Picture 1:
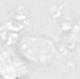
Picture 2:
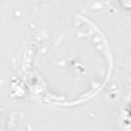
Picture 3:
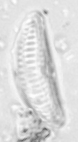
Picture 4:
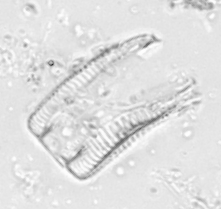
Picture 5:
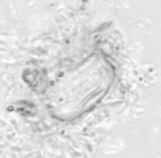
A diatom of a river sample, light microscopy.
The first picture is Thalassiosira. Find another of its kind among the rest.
Picture 2.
